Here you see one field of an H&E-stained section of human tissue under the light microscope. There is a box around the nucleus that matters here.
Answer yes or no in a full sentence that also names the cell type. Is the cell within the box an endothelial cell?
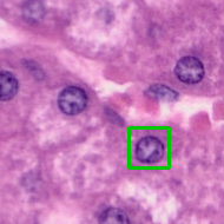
No, rather than being an endothelial cell, the cell within the box is a hepatocyte.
